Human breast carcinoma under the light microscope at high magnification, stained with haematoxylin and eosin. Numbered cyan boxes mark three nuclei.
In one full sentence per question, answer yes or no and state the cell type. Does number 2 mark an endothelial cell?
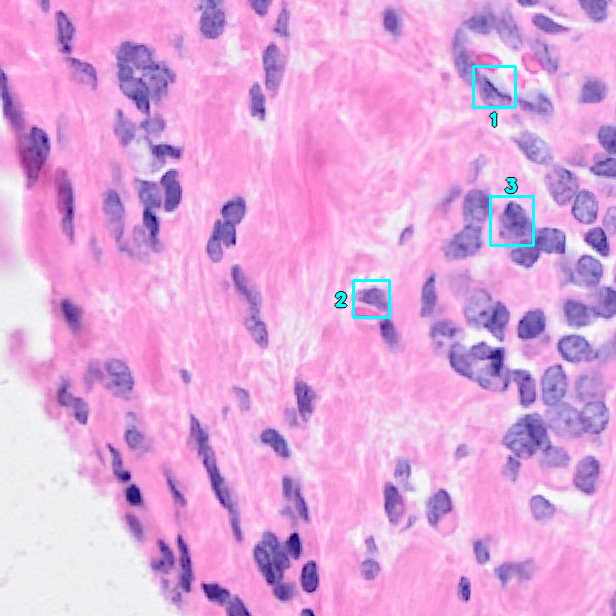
Yes, kindly take note: the cell numbered 2 is an endothelial cell.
